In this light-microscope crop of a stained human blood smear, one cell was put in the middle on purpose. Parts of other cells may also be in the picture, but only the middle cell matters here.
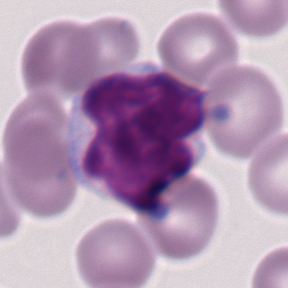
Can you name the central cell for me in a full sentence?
Answering briefly, the cell in the middle is a large granular lymphocyte.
